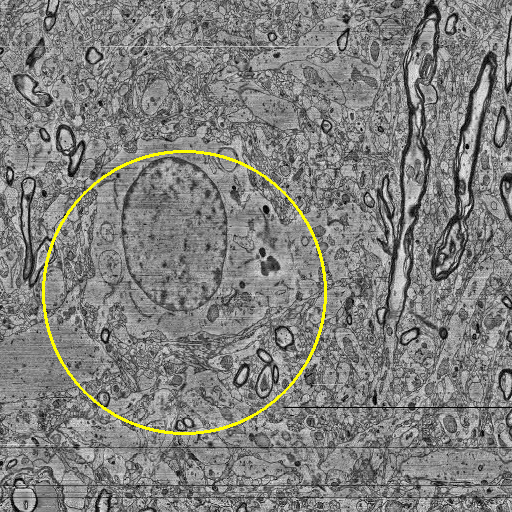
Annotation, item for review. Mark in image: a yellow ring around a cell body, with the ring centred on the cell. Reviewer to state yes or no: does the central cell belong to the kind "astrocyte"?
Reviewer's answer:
yes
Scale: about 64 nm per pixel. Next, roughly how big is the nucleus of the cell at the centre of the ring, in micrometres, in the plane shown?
In this plane, approximately 10 by 7 micrometers, and clearly longer than it is wide.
